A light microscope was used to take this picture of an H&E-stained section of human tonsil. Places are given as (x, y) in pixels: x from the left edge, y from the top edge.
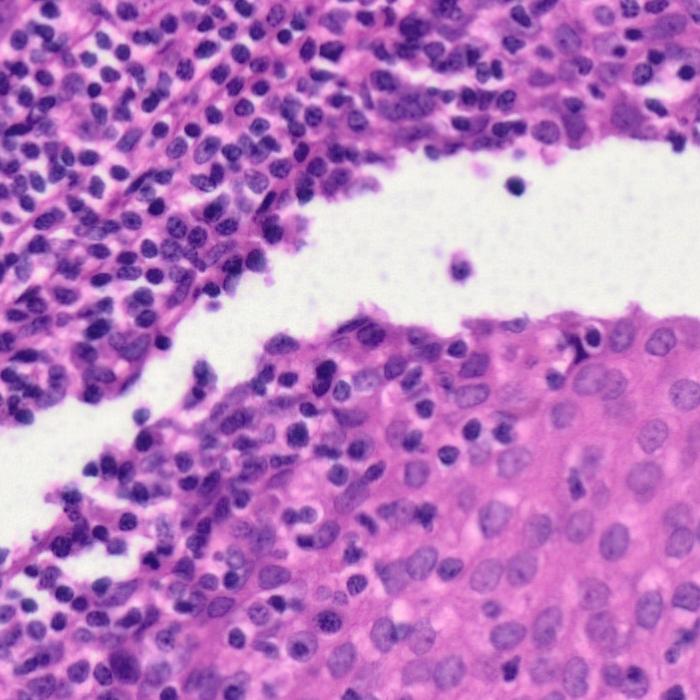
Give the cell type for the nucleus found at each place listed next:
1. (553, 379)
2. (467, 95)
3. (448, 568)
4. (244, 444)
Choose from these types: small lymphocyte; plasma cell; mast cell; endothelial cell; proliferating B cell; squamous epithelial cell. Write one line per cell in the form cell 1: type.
cell 1: squamous epithelial cell
cell 2: plasma cell
cell 3: squamous epithelial cell
cell 4: squamous epithelial cell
